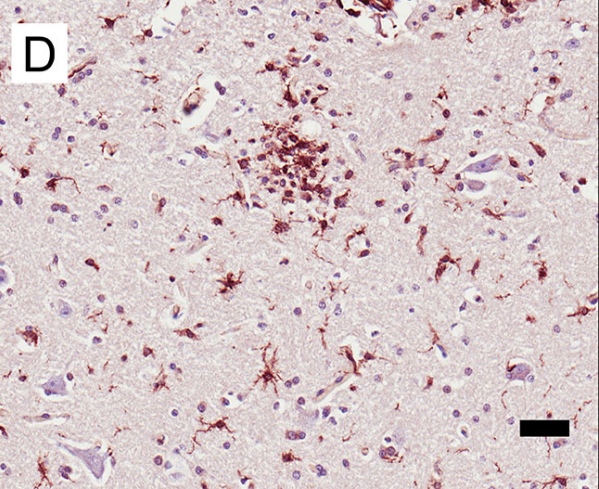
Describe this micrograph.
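Brain gray matter in which many microglia are stained brown-red. Most are scattered through the pale neuropil as small cells with a compact body and several fine, branching processes. Some stained cells sit close to small vessels and to neuronal cell bodies. The counterstain leaves the neuropil light and finely granular.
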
